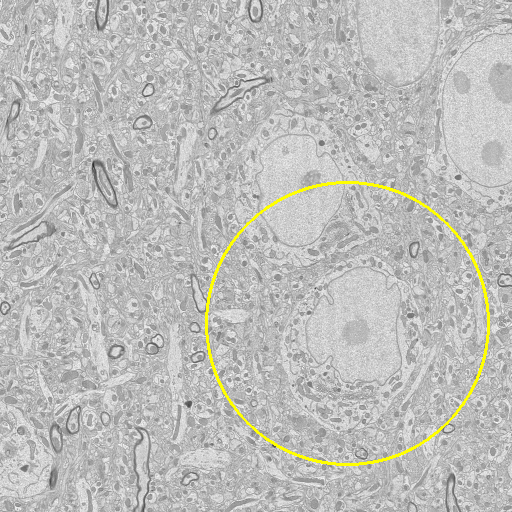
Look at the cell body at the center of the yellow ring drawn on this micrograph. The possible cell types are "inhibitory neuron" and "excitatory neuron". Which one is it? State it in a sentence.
The cell in the middle of the ring is an inhibitory neuron.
